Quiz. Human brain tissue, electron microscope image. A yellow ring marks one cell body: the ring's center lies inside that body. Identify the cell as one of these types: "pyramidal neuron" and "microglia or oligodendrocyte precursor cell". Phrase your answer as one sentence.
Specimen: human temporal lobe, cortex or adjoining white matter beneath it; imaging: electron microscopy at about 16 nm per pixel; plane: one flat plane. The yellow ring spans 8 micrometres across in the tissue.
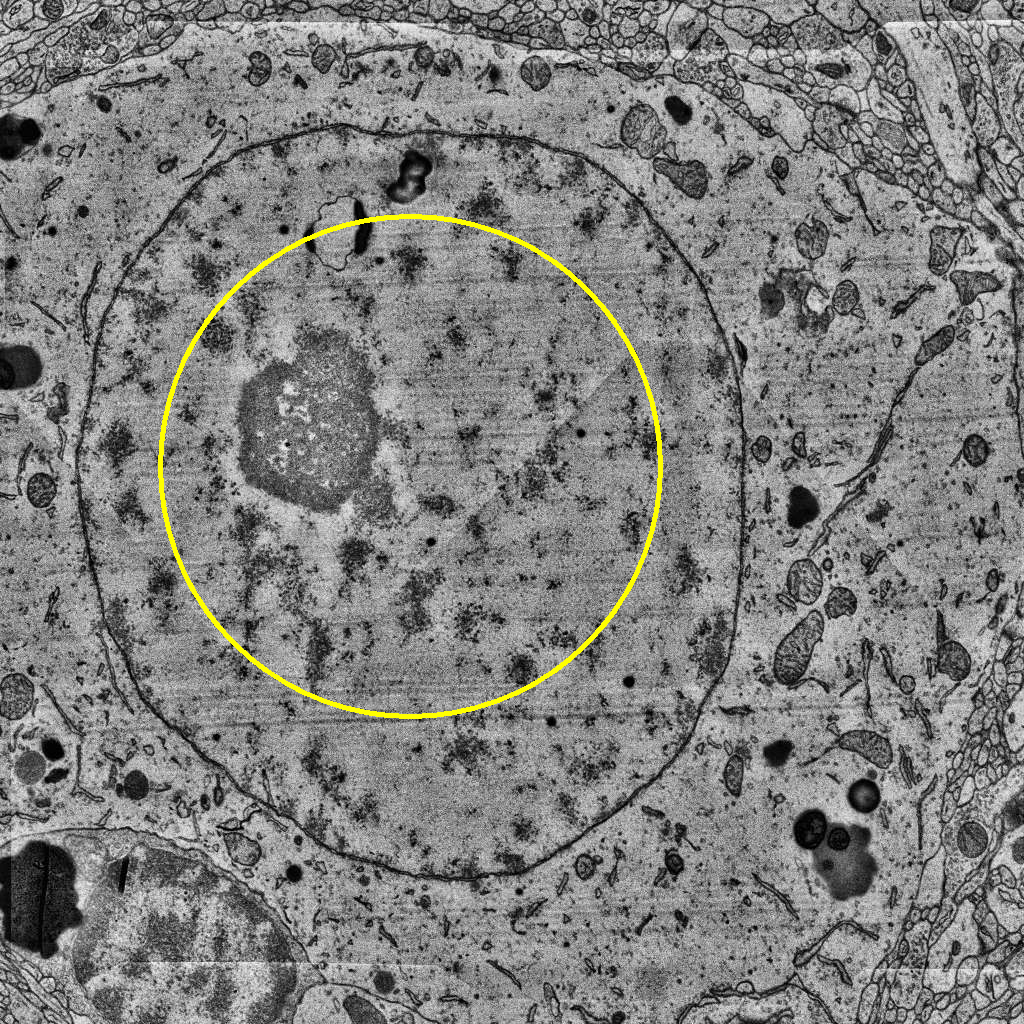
At the center of the ring sits a pyramidal neuron.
